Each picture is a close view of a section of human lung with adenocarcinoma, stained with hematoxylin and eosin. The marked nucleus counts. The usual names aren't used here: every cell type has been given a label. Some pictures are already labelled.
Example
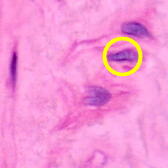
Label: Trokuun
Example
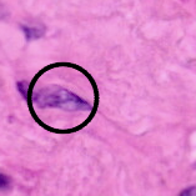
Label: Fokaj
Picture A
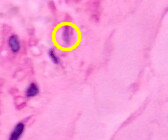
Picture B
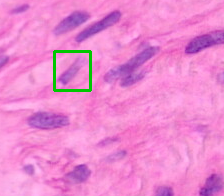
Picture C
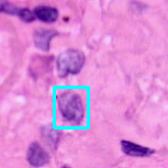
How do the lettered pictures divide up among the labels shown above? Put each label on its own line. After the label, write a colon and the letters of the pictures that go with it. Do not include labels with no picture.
Trokuun: A, B
Fokaj: C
